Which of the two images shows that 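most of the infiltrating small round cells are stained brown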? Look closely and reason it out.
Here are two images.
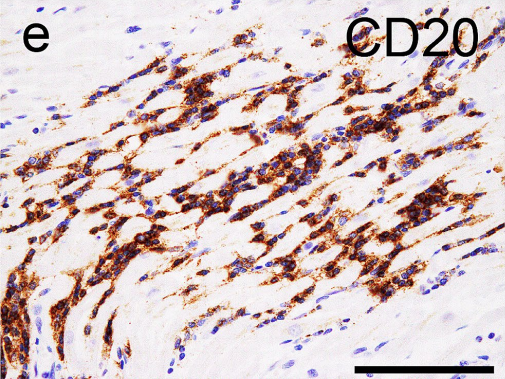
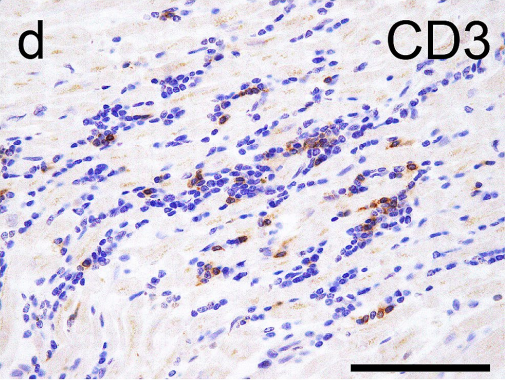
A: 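First image: dense sheets of brown-stained cells fill the infiltrate. Second image: only scattered cells within the infiltrate are brown, most nuclei are blue only.
Conclusion: the first image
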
